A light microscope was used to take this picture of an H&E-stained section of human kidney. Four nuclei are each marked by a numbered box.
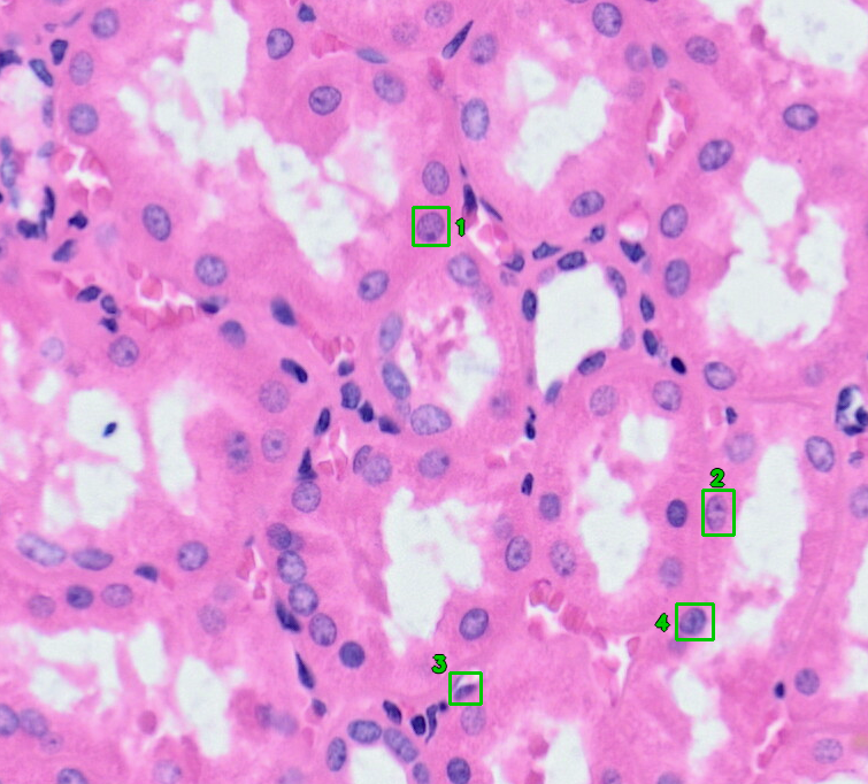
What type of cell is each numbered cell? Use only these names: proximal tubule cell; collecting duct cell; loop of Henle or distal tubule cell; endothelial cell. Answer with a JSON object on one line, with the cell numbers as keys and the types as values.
{"1": "proximal tubule cell", "2": "proximal tubule cell", "3": "endothelial cell", "4": "proximal tubule cell"}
